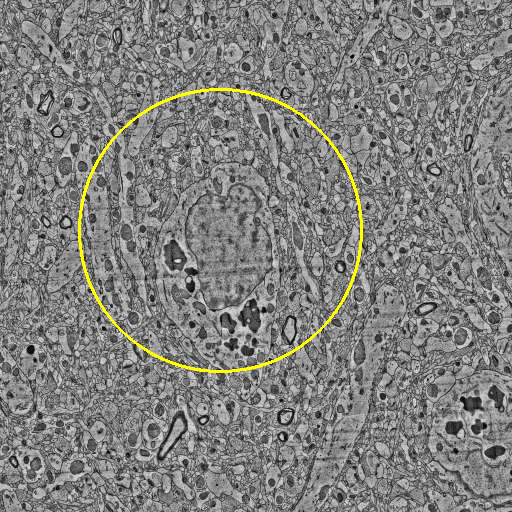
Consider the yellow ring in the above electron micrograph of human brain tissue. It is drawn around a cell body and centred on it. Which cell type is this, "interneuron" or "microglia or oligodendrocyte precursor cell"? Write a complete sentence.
The cell in question is an interneuron.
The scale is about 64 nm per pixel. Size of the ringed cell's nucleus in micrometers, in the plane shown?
The ringed cell's nucleus is about 7 micrometres long and 5 micrometres wide in this plane.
